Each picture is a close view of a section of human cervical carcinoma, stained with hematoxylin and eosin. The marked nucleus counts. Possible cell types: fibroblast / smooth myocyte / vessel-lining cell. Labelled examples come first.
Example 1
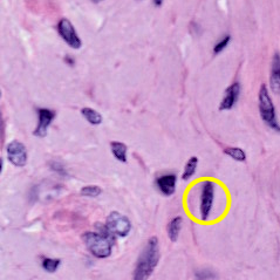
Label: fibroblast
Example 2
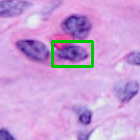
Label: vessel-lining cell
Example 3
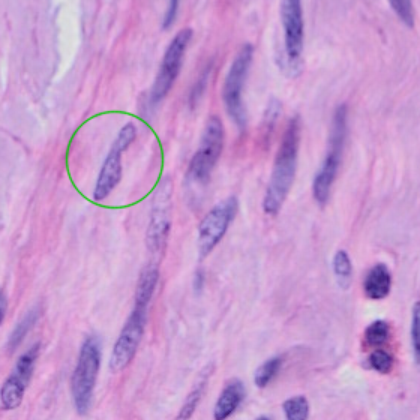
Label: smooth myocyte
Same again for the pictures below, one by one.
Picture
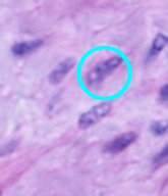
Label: smooth myocyte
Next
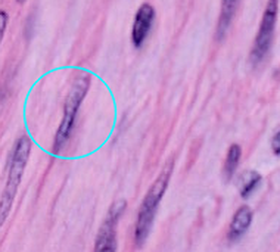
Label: smooth myocyte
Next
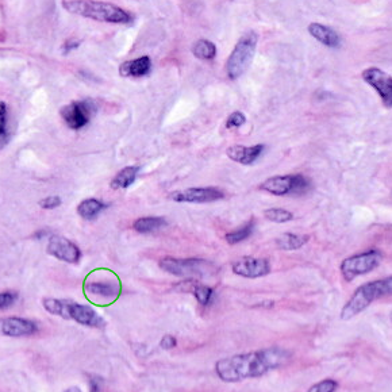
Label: smooth myocyte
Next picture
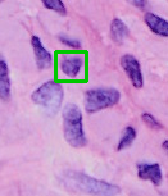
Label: fibroblast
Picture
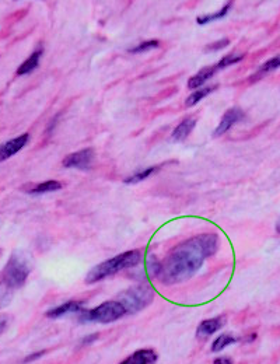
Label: vessel-lining cell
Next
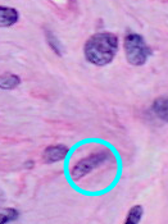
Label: smooth myocyte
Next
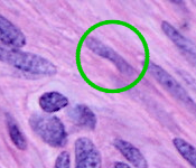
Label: smooth myocyte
